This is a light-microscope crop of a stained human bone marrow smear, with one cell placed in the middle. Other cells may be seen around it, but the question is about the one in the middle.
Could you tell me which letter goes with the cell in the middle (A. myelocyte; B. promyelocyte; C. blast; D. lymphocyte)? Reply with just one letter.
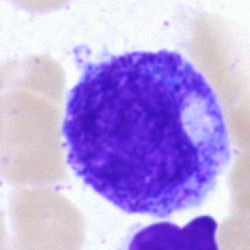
B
